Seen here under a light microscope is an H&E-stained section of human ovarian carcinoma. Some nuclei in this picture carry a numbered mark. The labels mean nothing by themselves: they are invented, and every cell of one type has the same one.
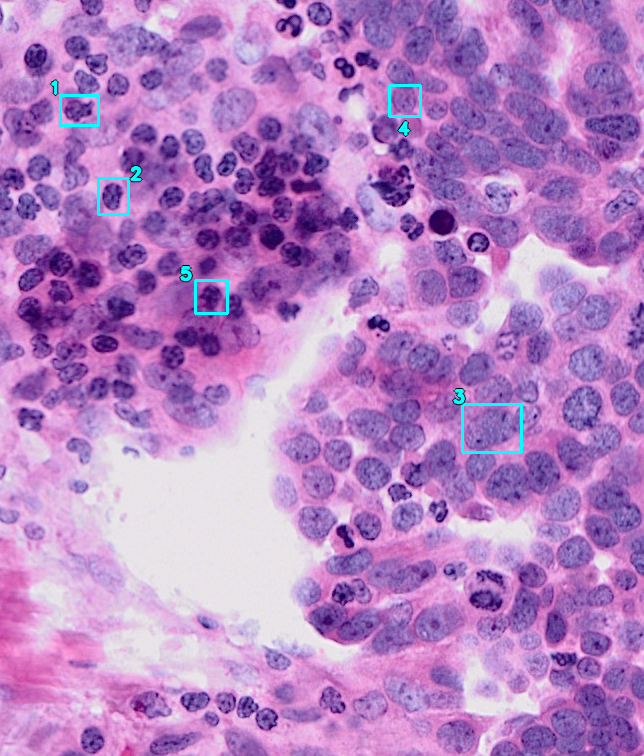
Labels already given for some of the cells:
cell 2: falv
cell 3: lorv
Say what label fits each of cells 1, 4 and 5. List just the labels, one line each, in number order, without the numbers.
falv
lorv
falv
